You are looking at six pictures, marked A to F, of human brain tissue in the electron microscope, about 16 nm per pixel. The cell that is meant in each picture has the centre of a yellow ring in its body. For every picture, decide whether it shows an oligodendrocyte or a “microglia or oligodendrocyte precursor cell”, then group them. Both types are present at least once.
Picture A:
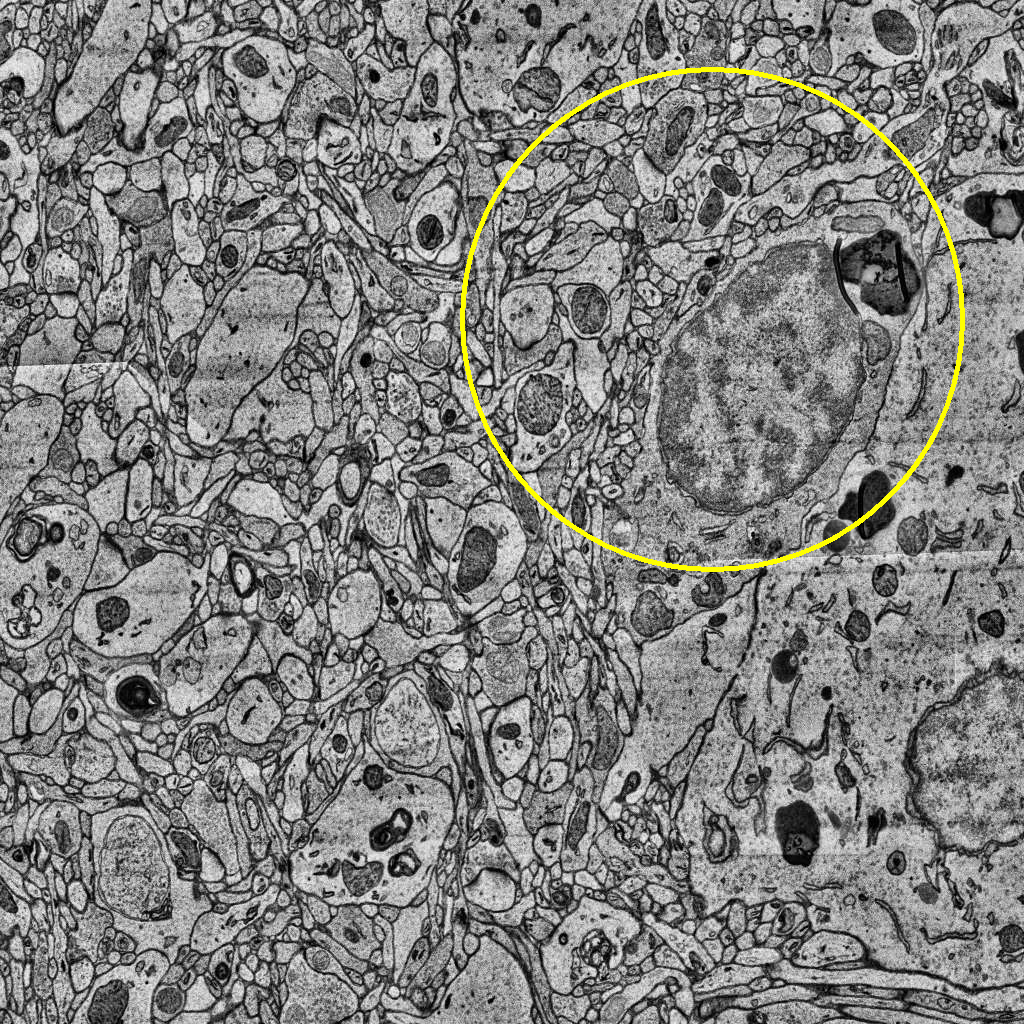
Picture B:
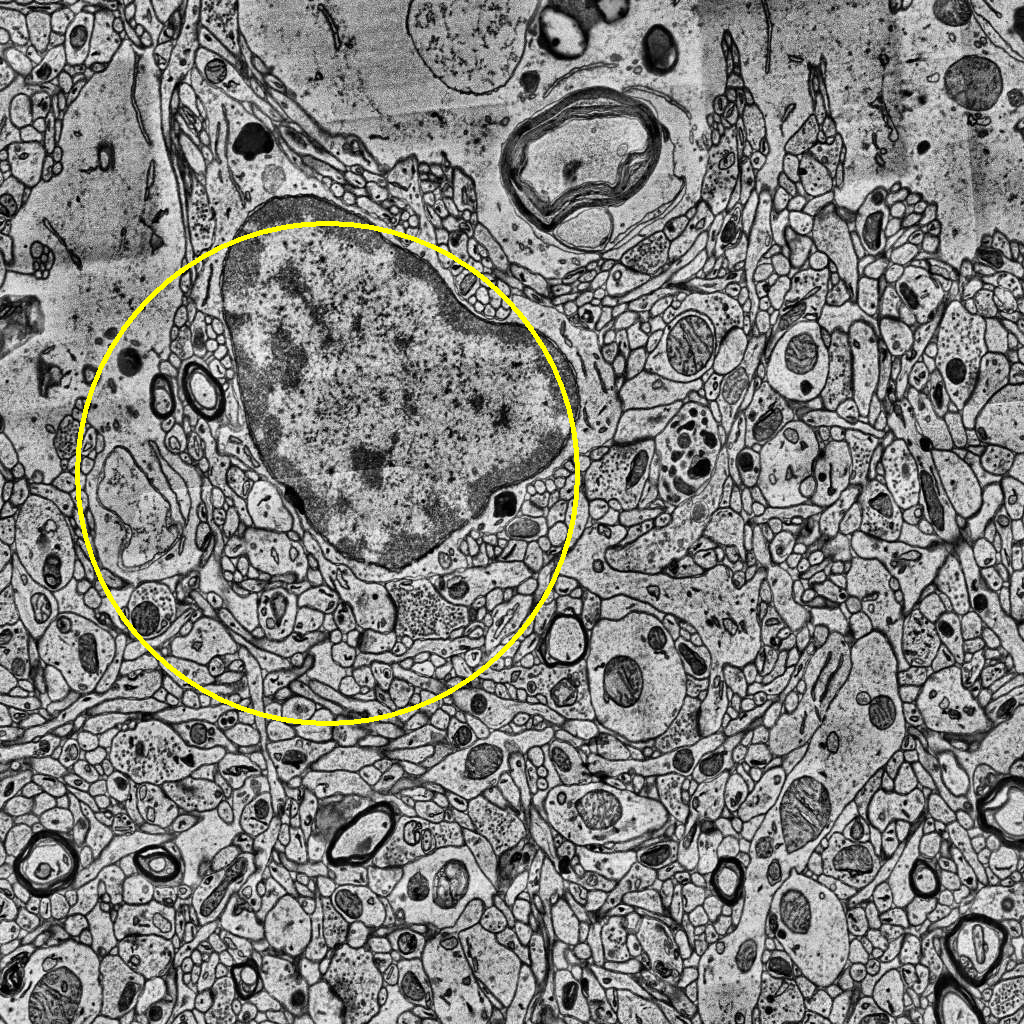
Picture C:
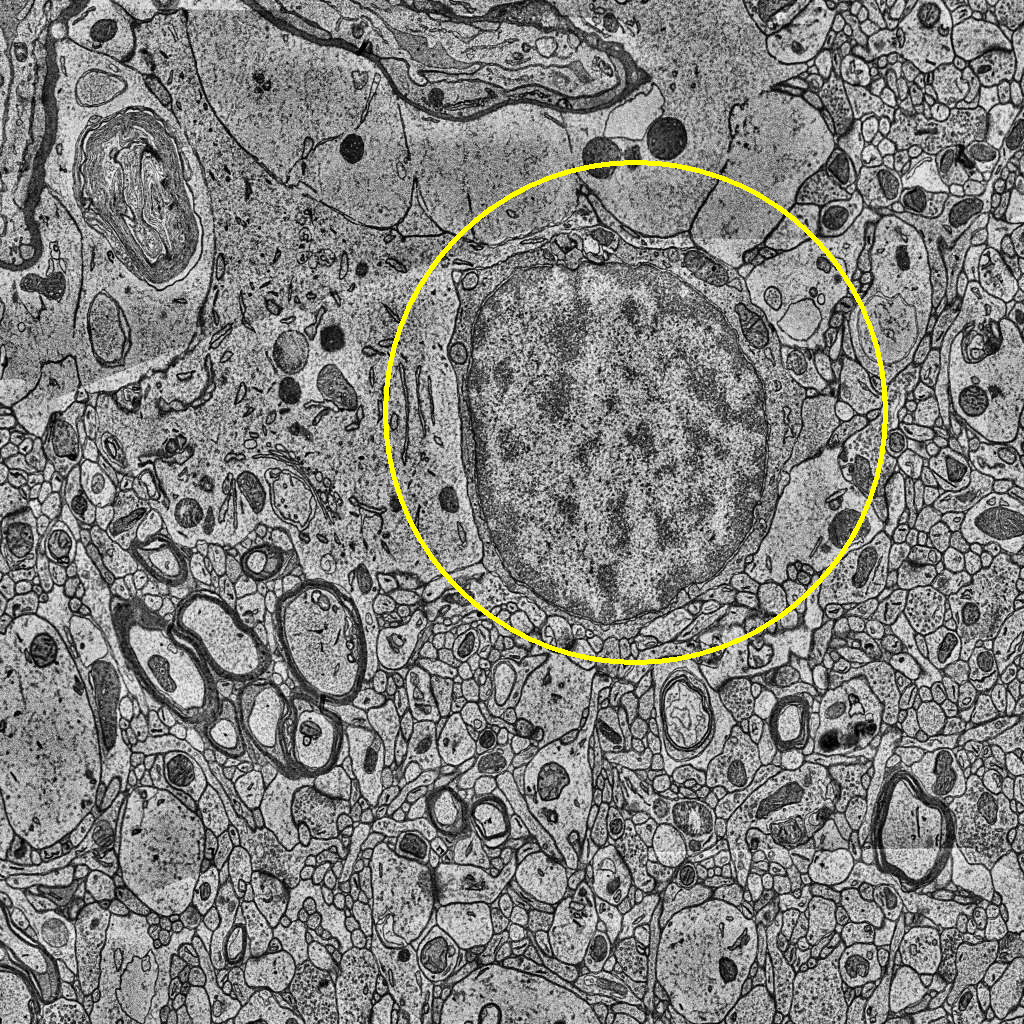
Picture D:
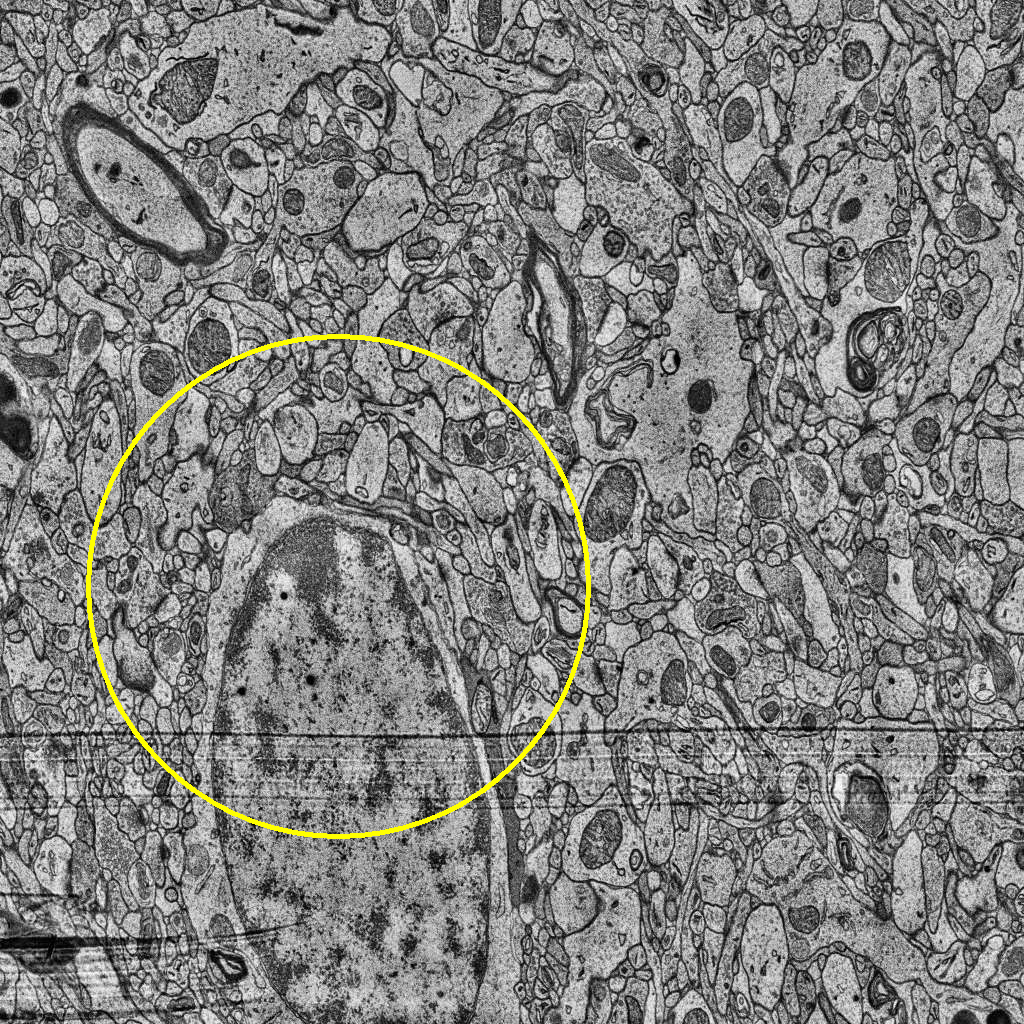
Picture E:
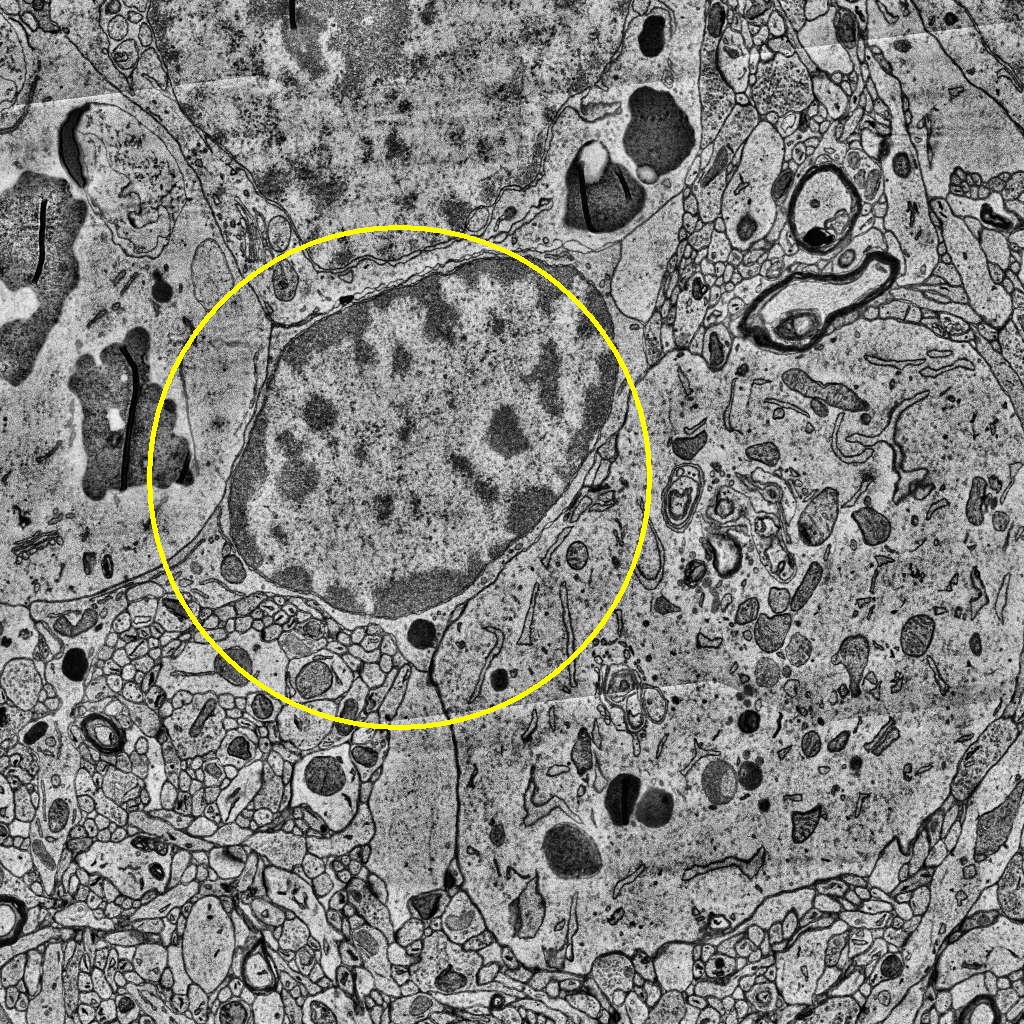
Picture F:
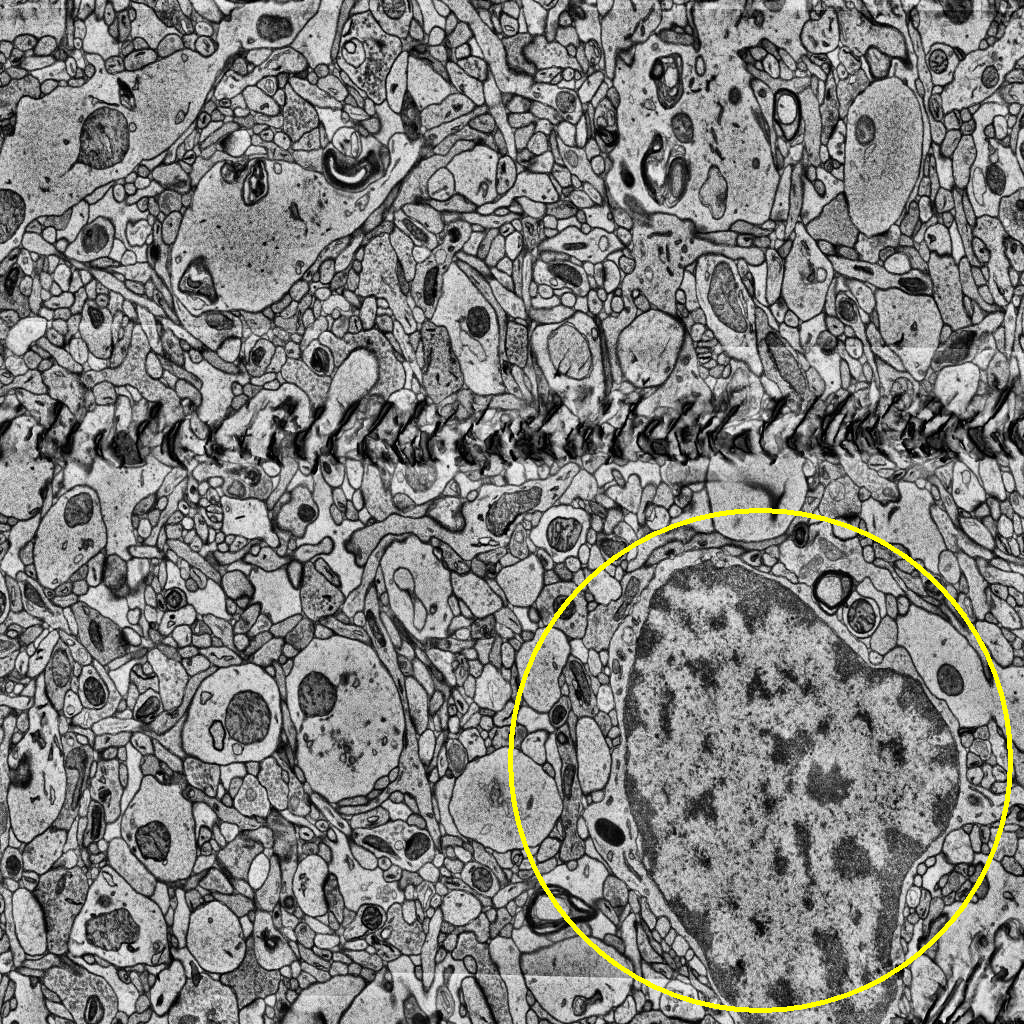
Pictures A and C show oligodendrocytes, and pictures B, D, E and F show “microglia or oligodendrocyte precursor cells”.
